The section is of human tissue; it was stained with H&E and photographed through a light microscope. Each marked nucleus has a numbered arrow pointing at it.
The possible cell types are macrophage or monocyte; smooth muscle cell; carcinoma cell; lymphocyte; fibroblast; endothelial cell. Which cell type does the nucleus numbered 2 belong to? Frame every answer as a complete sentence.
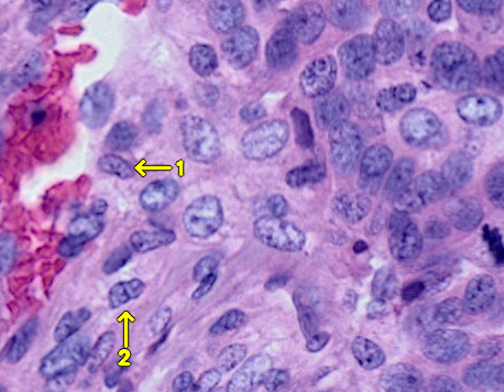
The marked cell bearing number 2 is a macrophage or monocyte.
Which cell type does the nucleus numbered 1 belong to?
Number 1 among the marked cells is an endothelial cell.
